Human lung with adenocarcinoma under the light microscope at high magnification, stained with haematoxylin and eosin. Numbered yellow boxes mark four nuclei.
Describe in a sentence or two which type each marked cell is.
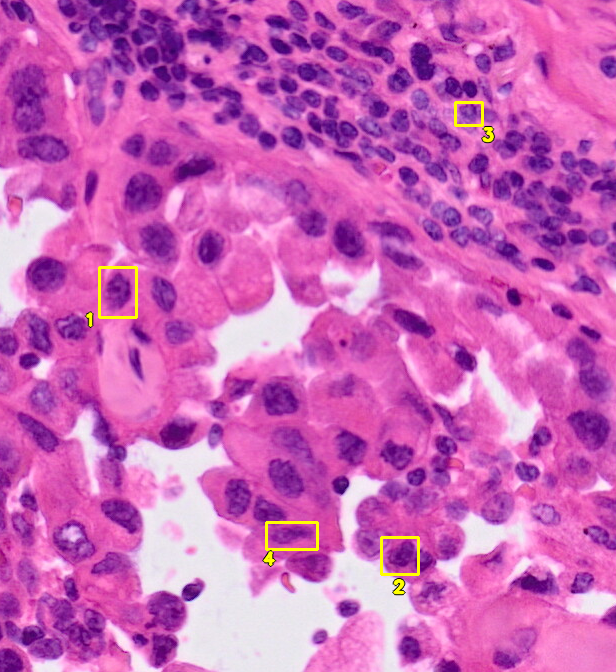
Cells 1, 2 and 4 are carcinoma cells. Cell 3 is a lymphocyte.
